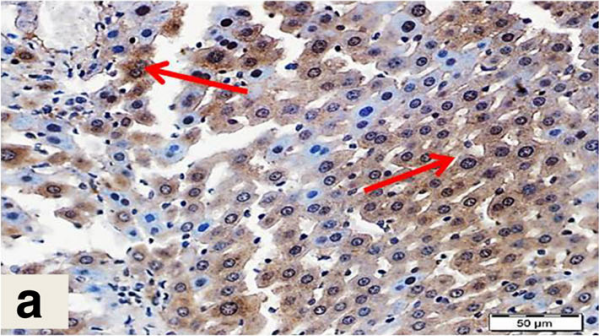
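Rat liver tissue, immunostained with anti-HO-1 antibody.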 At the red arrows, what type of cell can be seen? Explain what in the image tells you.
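Large polygonal cells with round central nuclei and prominent nucleoli. Cells arranged in cords separated by sinusoidal spaces. Abundant cytoplasm stained brown. So: hepatocytes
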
